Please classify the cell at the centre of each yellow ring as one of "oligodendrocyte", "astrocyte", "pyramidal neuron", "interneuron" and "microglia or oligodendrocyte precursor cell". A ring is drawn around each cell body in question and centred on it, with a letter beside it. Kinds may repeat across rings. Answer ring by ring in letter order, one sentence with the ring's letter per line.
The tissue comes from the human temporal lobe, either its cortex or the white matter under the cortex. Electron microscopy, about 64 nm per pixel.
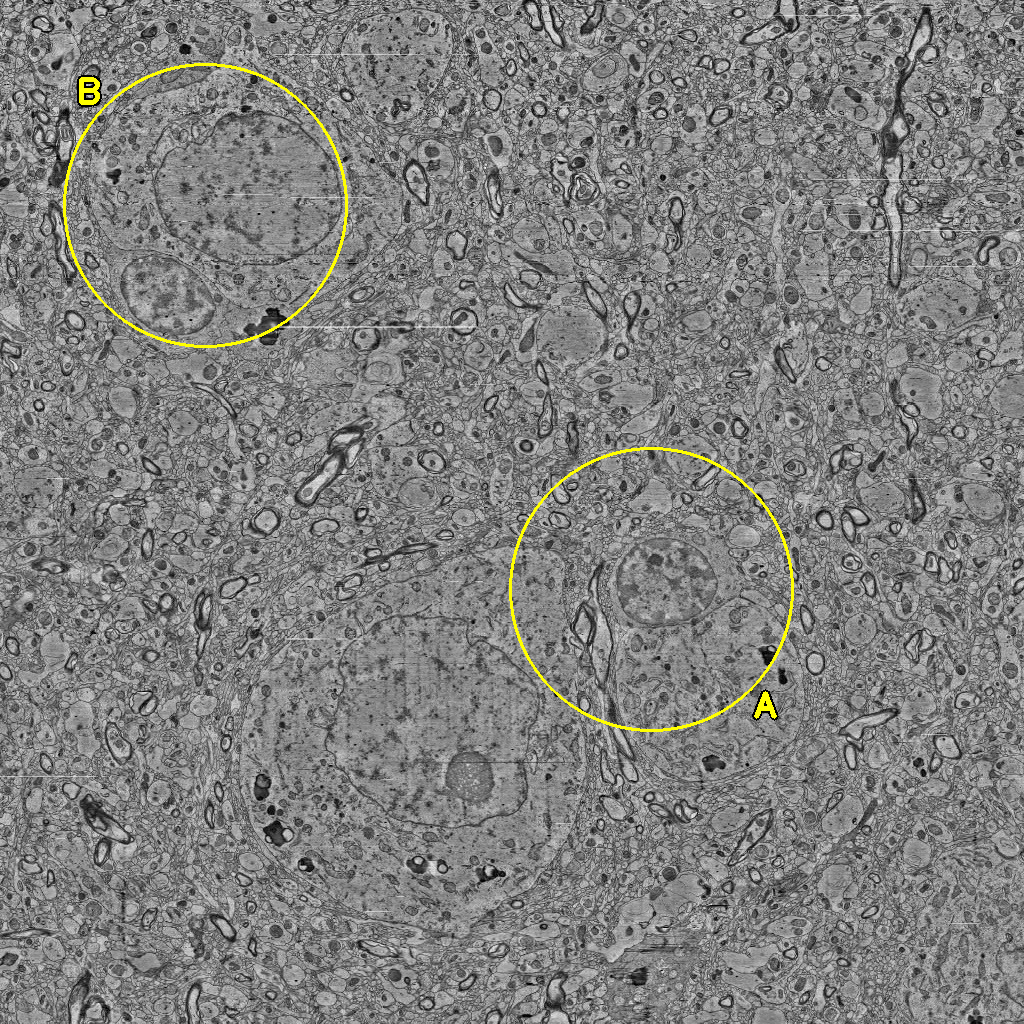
The cell at the heart of ring A is an oligodendrocyte.
The cell at the heart of ring B is a pyramidal neuron.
